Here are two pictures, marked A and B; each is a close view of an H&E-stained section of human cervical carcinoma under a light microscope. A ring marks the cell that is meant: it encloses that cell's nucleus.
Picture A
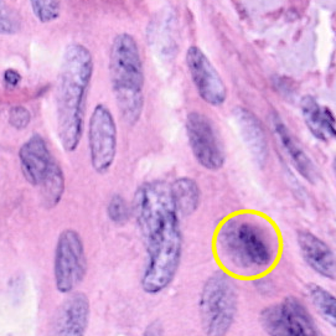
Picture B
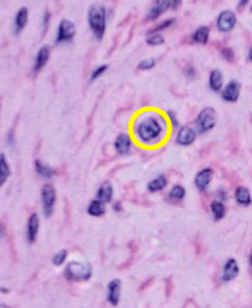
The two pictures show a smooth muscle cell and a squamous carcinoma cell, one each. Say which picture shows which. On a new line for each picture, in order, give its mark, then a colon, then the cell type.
A: squamous carcinoma cell
B: smooth muscle cell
